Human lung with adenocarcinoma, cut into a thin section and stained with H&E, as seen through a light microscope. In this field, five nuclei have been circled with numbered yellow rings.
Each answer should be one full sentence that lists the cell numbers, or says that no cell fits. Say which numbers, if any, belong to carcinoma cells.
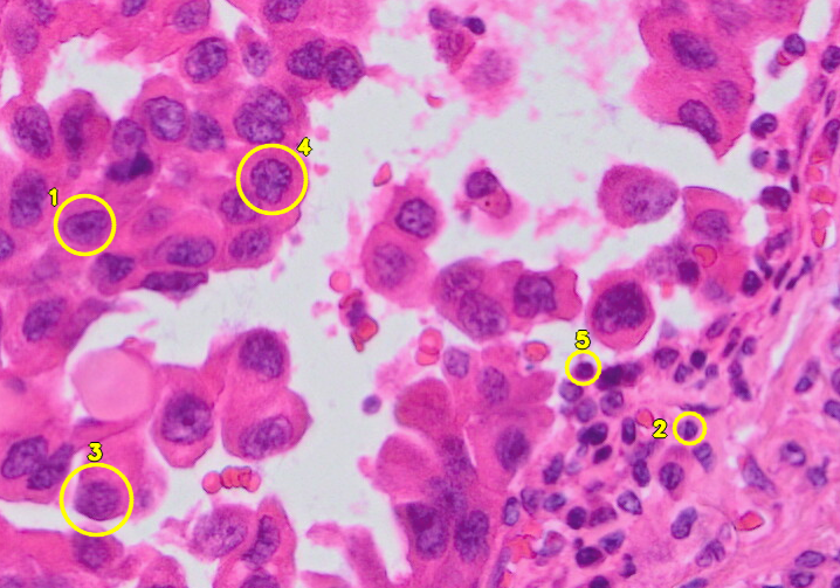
The cells labelled 1, 3 and 4 in this section are carcinoma cells.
